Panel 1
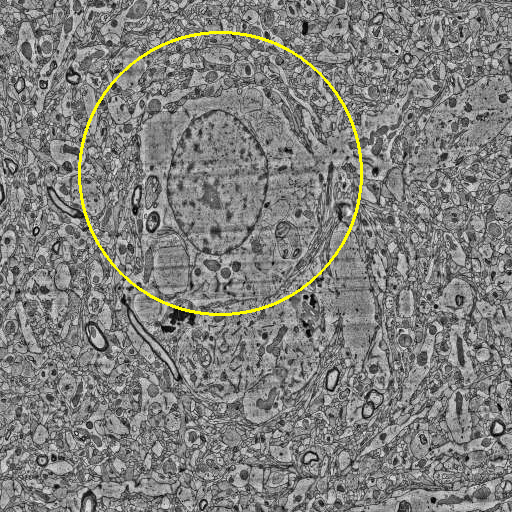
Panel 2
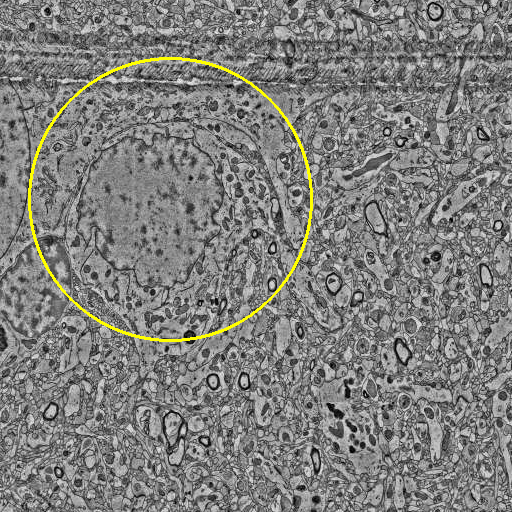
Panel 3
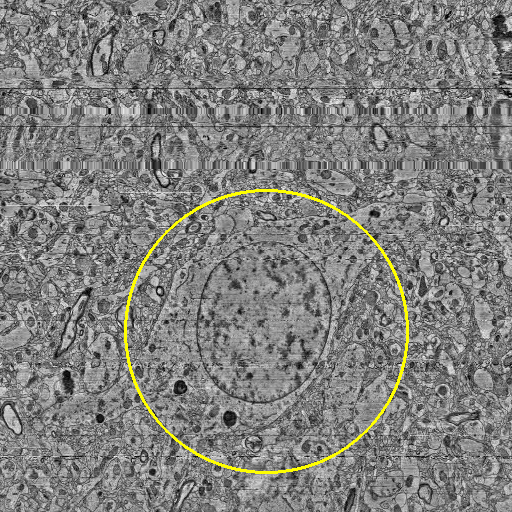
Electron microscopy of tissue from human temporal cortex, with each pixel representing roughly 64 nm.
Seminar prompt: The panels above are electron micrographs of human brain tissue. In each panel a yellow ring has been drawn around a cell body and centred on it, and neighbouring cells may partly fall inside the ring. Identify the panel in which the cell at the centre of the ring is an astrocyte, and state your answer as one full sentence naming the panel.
Panel 1 has it at the centre of its ring.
